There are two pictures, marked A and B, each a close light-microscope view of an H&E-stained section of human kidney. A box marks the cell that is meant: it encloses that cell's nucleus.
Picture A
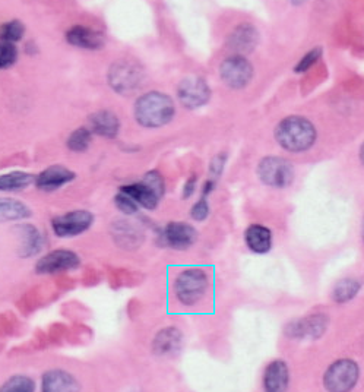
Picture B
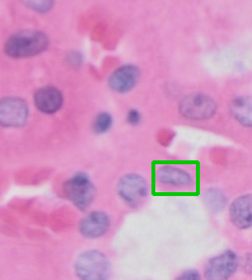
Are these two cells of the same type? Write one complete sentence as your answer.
Yes, the two pictures both show “loop of Henle or distal tubule cells”.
